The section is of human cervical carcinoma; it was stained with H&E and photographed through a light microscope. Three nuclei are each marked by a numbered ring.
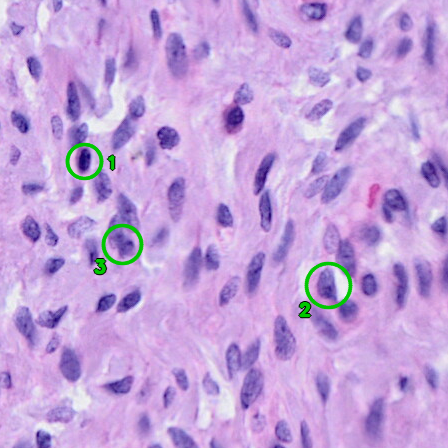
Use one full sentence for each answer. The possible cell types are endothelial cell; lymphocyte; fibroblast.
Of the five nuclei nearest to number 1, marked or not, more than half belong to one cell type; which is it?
Around number 1, most of the five nearest nuclei are those of fibroblasts.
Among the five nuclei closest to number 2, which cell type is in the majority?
Of the five nuclei nearest to number 2, most belong to endothelial cells.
